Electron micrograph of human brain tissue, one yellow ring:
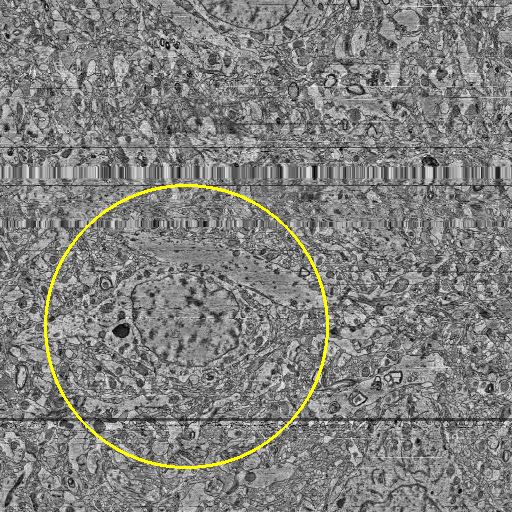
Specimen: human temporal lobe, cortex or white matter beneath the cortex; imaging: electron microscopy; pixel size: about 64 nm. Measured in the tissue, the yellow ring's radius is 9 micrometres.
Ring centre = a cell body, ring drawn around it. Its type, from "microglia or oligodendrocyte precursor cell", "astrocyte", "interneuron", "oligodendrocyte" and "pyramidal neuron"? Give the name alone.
interneuron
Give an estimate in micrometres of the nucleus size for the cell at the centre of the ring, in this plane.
The nucleus is approximately 7 micrometers long by 6 micrometers wide in this plane.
